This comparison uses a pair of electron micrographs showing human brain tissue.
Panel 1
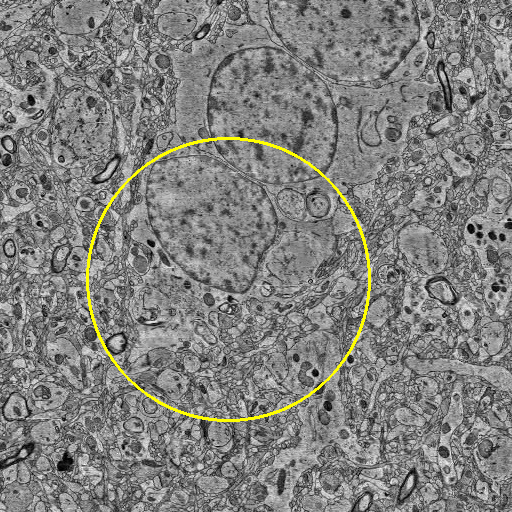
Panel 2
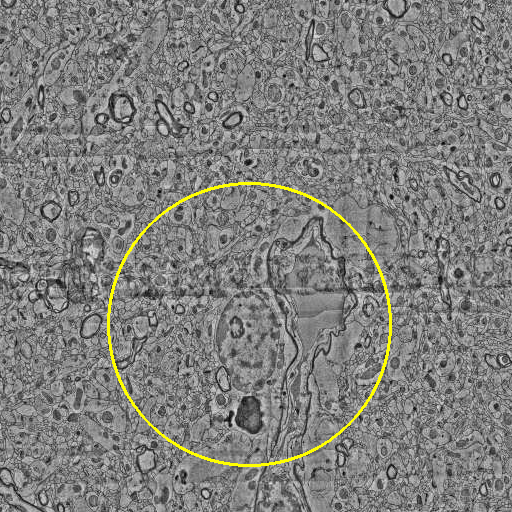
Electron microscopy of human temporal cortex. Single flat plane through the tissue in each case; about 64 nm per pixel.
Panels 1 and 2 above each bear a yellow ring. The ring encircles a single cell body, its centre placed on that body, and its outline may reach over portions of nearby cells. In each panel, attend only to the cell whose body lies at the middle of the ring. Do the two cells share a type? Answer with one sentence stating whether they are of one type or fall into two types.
In Panel 1 and Panel 2, the cells at the centres of the rings fall into two types.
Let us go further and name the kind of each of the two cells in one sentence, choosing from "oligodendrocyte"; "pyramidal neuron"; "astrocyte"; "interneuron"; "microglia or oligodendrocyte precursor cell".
The ring of the first picture is on an astrocyte, the ring of the second on an oligodendrocyte.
